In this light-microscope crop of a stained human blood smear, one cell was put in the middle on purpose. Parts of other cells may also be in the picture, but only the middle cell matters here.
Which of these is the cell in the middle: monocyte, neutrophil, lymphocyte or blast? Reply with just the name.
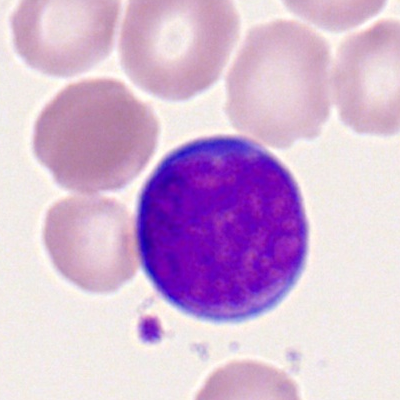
blast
